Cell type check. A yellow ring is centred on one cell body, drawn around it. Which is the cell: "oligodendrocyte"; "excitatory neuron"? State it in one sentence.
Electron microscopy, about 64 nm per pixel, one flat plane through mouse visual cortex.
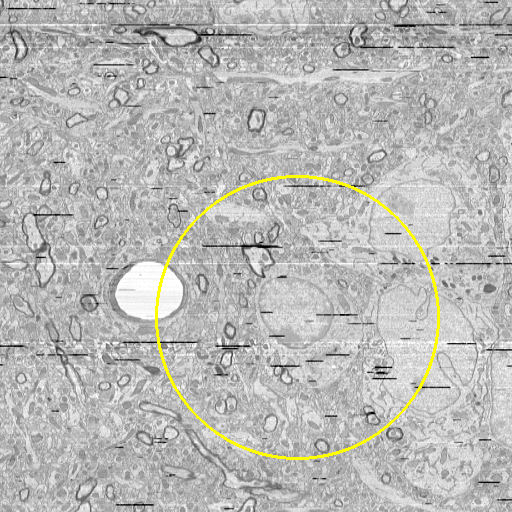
The cell body at the ring's centre belongs to an oligodendrocyte.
